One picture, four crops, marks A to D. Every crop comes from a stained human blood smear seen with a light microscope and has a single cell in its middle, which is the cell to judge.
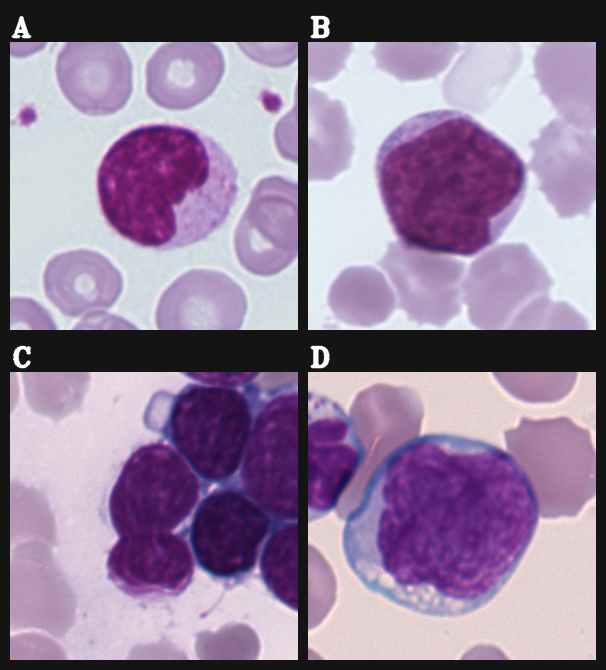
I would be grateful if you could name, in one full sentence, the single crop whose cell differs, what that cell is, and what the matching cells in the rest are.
Crop A is the one to flag: it is a large granular lymphocyte, and the rest show myeloblasts.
